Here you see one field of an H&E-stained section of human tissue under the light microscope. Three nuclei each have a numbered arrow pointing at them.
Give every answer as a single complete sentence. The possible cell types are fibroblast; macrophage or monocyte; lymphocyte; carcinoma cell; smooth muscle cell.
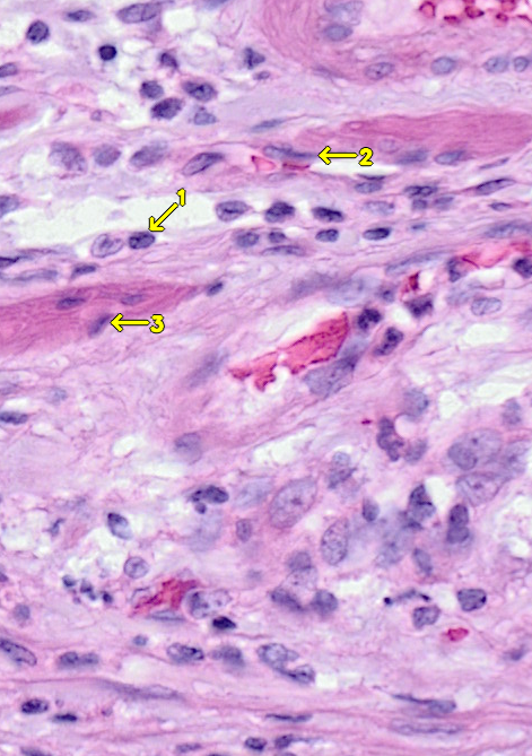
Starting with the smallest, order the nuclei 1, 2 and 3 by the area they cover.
From smallest to largest, the order is 3, 1, 2.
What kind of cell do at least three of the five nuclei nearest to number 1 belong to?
Macrophages or monocytes make up most of the five nuclei closest to number 1.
